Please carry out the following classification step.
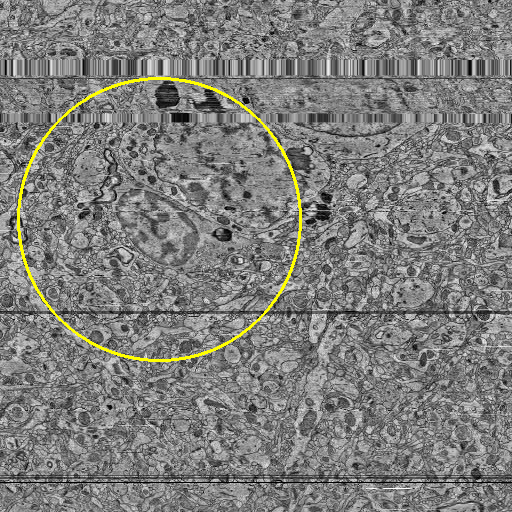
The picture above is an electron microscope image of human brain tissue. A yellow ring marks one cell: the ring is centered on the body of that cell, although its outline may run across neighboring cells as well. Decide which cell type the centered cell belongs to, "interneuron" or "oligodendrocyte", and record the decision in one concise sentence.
The cell centered in the yellow ring is an oligodendrocyte.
